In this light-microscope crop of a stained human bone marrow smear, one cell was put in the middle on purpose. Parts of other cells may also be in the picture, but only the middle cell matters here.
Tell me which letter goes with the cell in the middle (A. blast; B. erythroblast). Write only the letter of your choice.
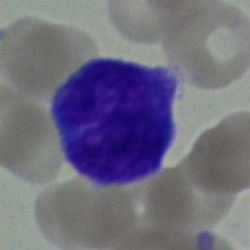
A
